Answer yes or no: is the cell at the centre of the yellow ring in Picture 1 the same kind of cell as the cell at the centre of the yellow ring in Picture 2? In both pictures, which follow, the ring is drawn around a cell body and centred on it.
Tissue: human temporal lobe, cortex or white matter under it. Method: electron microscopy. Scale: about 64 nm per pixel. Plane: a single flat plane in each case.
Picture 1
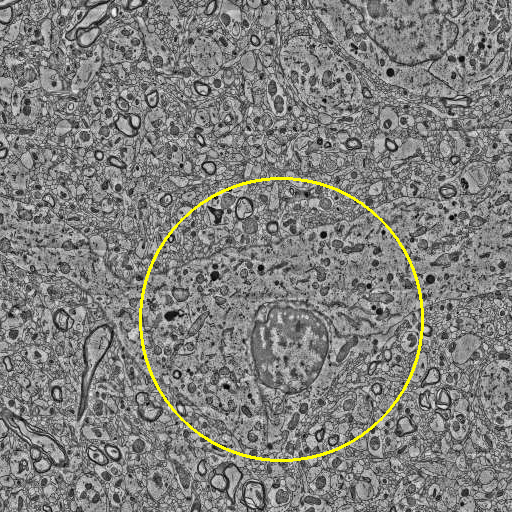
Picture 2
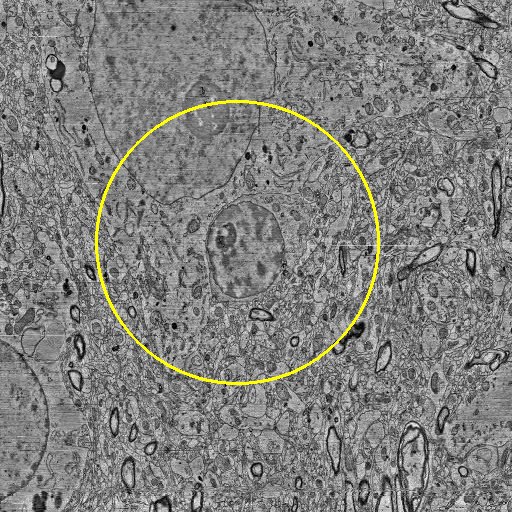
no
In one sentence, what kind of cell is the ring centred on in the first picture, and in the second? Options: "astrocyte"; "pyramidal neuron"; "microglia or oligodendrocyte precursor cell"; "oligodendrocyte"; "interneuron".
The cell at the centre of the second ring is an oligodendrocyte; the first ring's cell is a microglial cell or oligodendrocyte precursor cell.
